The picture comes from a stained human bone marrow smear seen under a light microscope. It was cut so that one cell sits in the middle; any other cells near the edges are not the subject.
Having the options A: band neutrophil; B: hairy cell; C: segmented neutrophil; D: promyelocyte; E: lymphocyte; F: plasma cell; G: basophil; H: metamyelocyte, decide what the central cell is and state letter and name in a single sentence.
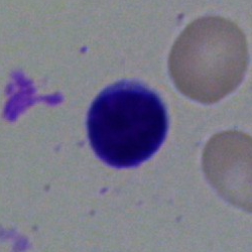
It is a lymphocyte that occupies the centre of the crop, so option E is correct.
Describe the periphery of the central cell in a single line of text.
Expected answer: a smooth cell outline without projections of any sort.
